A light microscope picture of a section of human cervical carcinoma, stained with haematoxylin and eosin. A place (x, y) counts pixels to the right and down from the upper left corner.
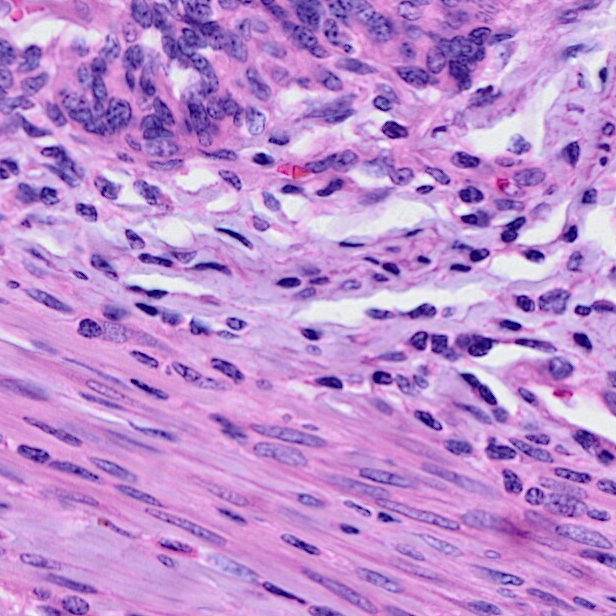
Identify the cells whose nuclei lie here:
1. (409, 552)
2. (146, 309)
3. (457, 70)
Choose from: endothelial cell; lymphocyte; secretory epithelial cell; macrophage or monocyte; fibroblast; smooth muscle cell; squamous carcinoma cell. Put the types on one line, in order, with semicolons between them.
smooth muscle cell; lymphocyte; squamous carcinoma cell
